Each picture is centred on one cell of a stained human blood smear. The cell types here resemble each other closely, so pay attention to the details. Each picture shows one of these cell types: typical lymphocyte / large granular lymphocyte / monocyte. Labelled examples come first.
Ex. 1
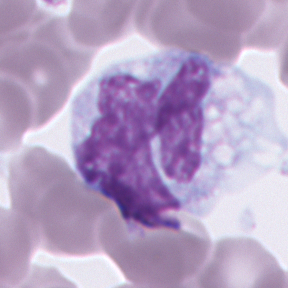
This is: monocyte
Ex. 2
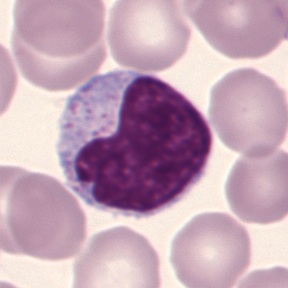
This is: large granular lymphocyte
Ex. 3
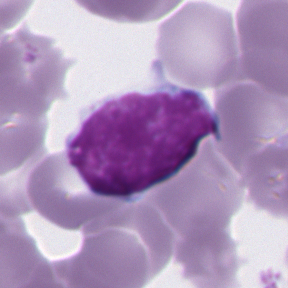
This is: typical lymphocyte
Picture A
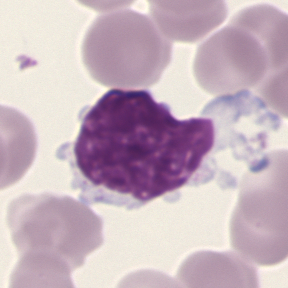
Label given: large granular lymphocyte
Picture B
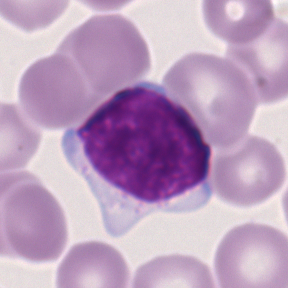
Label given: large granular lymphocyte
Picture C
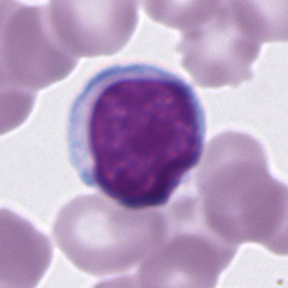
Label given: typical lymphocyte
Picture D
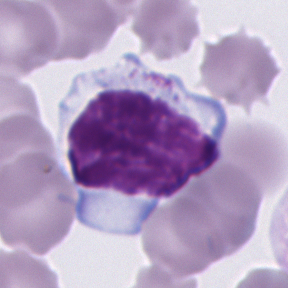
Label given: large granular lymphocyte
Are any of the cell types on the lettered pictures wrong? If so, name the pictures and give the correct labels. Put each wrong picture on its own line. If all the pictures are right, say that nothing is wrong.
None of the labels needs changing.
